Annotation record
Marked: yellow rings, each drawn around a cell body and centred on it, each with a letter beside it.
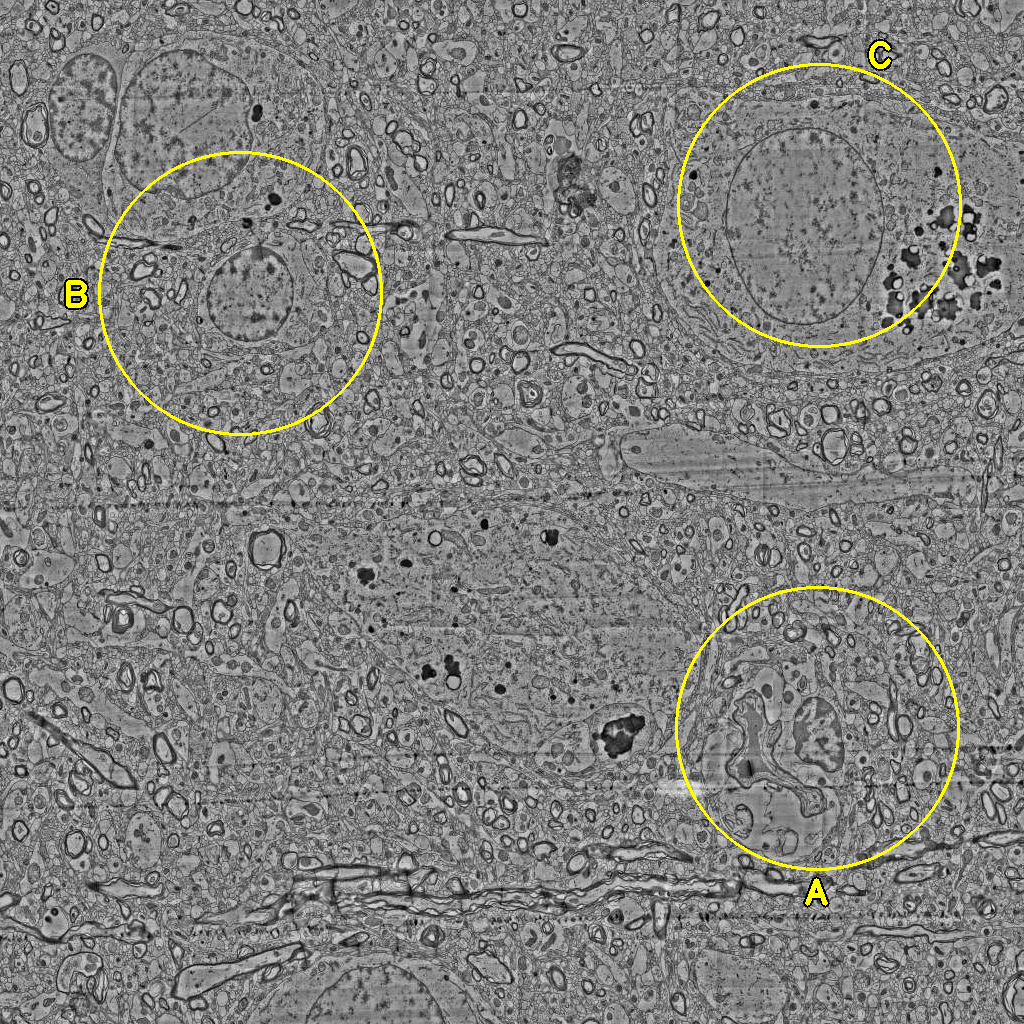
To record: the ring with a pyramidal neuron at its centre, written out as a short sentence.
The ring centred on it is ring C.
